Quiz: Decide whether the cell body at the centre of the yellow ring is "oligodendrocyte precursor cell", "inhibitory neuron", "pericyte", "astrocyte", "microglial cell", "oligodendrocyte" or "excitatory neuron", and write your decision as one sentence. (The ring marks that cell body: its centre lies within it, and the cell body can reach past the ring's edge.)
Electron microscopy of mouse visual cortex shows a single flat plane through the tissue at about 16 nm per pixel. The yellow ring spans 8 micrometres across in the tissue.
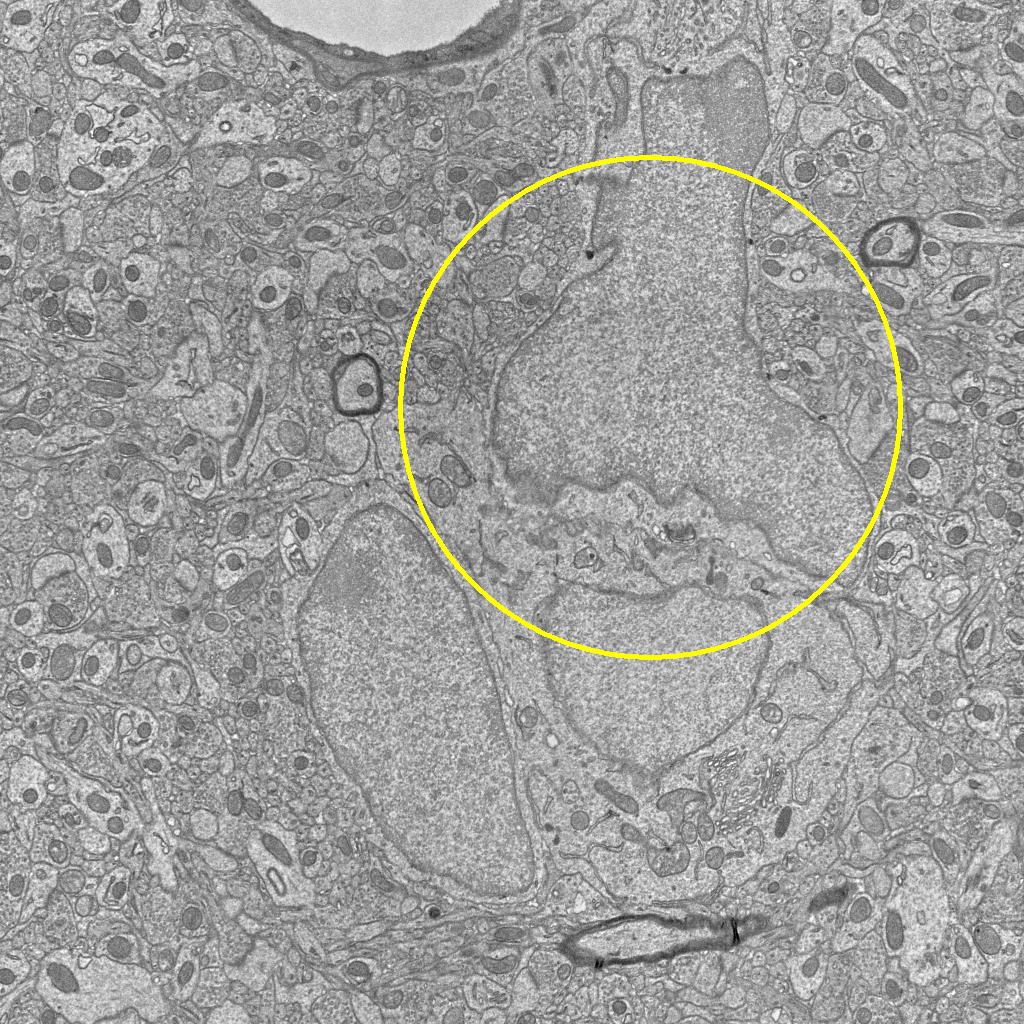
The cell holding the ring's centre is an oligodendrocyte precursor cell.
